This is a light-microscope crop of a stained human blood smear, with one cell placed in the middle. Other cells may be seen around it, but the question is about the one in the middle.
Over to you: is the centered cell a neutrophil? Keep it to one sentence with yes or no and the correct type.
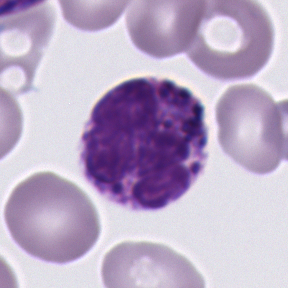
No, mark the middle cell as a basophil, not a neutrophil.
